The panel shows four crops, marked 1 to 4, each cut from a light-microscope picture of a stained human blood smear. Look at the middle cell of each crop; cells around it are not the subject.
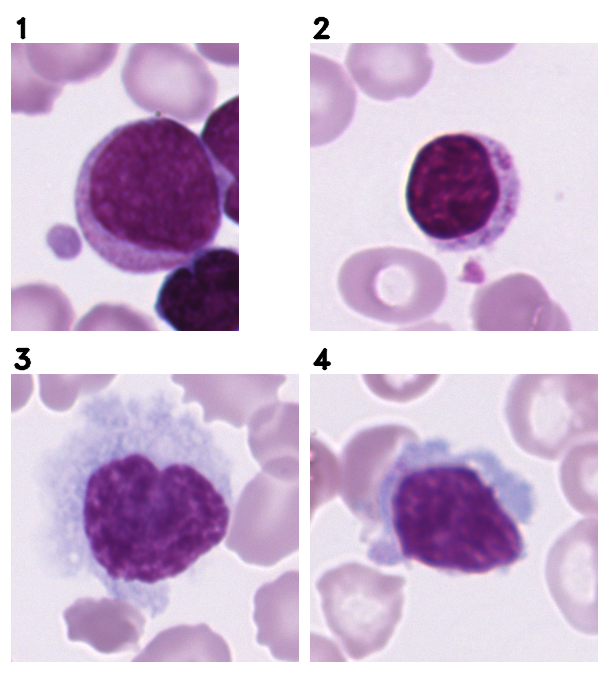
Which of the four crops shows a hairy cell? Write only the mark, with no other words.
3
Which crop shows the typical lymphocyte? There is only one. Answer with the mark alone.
4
